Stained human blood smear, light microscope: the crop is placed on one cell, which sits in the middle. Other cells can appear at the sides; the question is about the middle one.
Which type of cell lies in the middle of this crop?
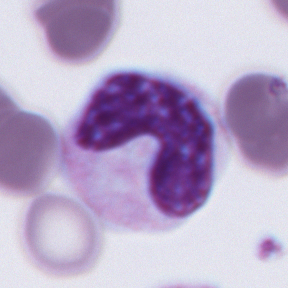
band neutrophil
